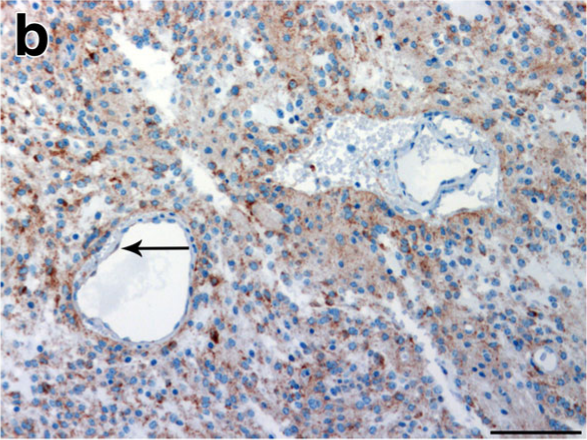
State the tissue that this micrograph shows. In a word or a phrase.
Tumors with a fibrillary pattern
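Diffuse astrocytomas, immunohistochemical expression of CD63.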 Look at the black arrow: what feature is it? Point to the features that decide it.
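The arrow points into a round open lumen with a thin wall. A second similar lumen with pale contents lies nearby. That points to this answer: tumor blood vessels.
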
